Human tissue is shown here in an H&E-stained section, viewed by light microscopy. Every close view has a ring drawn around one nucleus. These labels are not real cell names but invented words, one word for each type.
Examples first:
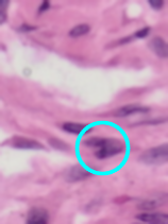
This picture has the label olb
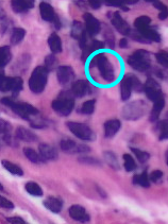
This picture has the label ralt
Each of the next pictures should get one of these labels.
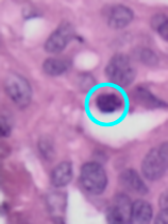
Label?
ralt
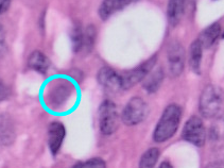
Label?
ralt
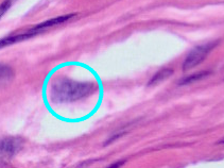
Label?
olb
